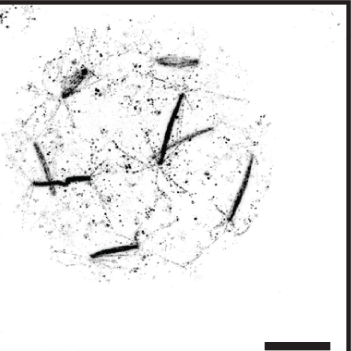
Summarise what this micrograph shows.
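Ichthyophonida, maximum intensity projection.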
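Single rounded multinucleate cell with many anaphase spindles. Some rods are slightly thicker or curved at their ends. Between them a fine, faint network of thin filaments fills the cell, with small dark dots dispersed throughout. The outline of the cell is roughly circular, marked by the edge of this filament network. No single central spindle; divisions appear to occur in many nuclei at once within one shared cytoplasm.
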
